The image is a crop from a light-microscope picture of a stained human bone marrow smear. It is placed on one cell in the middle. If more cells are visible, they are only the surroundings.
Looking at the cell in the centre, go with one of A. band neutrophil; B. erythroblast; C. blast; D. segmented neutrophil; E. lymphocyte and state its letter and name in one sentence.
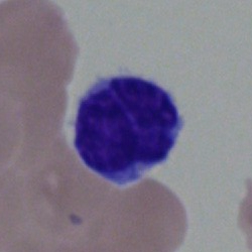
The centrally positioned cell is a lymphocyte, consistent with option E, which is correct.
